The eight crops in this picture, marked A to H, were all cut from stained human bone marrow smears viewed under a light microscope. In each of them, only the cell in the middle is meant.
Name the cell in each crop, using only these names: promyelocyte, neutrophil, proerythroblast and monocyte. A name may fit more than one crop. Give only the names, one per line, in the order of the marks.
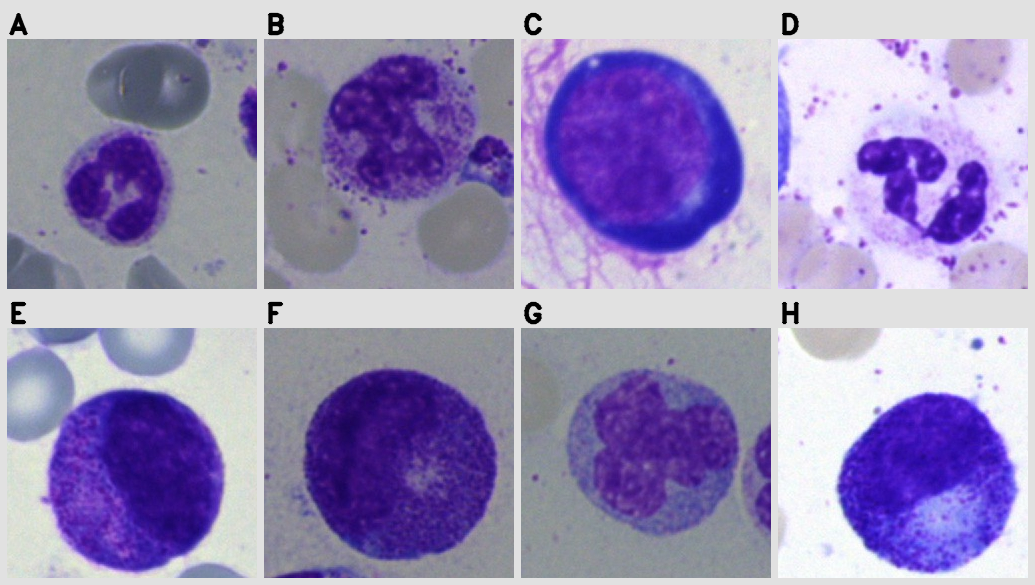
neutrophil
neutrophil
proerythroblast
neutrophil
promyelocyte
promyelocyte
monocyte
promyelocyte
